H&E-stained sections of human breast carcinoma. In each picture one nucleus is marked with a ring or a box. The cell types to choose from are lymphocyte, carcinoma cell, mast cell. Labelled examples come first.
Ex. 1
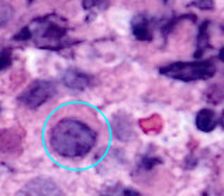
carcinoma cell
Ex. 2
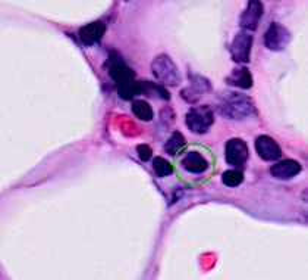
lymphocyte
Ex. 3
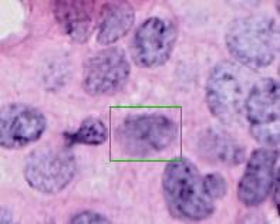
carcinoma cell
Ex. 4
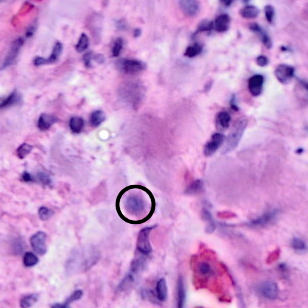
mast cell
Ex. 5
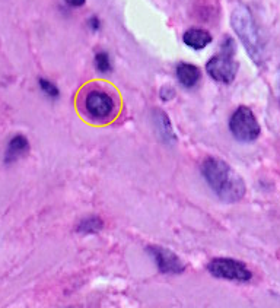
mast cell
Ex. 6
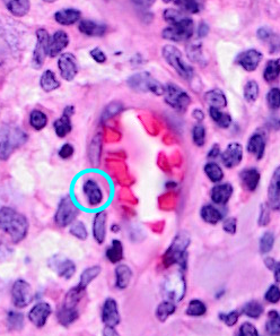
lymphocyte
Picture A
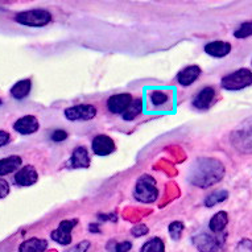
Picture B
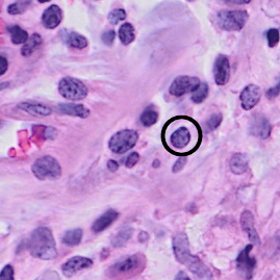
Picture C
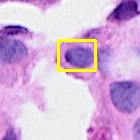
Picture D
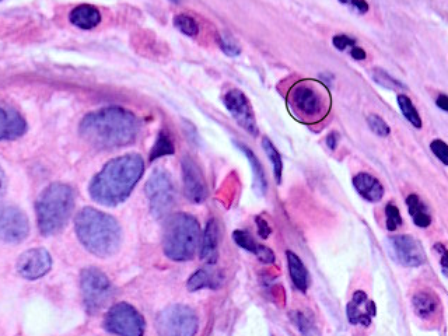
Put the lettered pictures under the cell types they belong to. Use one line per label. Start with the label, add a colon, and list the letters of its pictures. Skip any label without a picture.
lymphocyte: A, B
carcinoma cell: C
mast cell: D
